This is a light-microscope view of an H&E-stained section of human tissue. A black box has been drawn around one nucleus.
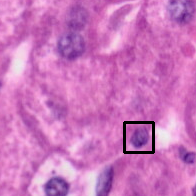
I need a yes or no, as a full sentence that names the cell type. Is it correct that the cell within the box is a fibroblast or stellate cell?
Yes, the cell within the box is accurately described as a fibroblast or stellate cell.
